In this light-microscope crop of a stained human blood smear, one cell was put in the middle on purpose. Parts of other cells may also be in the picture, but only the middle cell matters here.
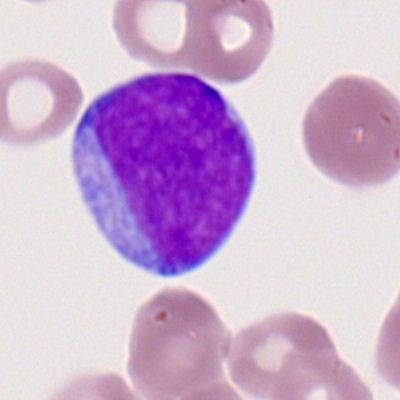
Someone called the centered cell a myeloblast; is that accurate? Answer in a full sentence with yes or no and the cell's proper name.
Yes, it is a myeloblast that occupies the centre of the crop.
